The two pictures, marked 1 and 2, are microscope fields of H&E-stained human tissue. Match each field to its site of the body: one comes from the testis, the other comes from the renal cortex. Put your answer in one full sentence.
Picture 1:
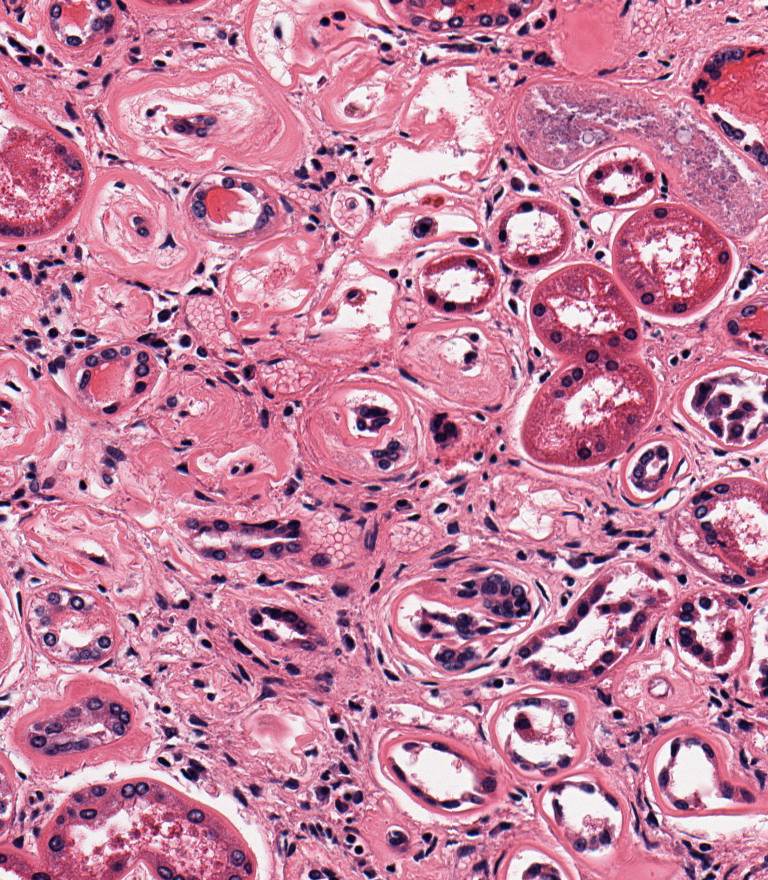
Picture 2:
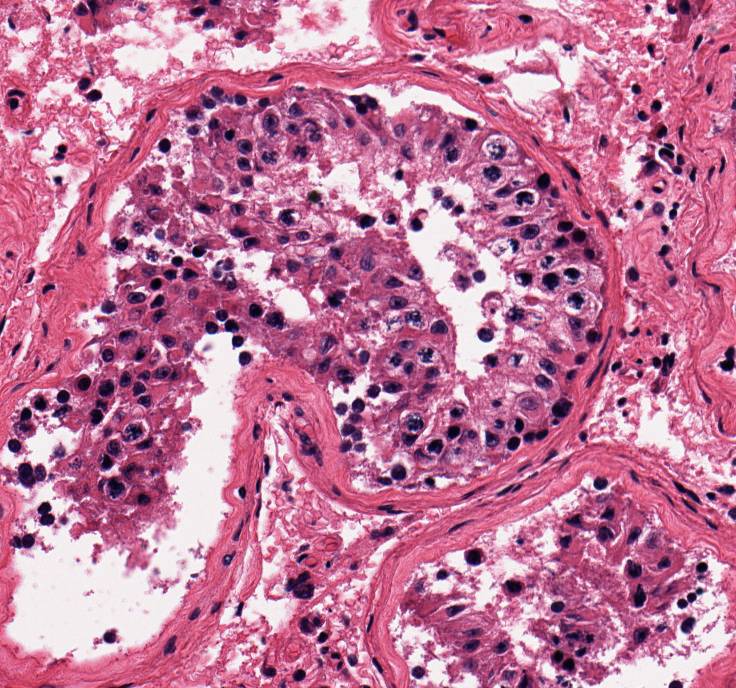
It is picture 1 that comes from the renal cortex, and picture 2 that comes from the testis.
